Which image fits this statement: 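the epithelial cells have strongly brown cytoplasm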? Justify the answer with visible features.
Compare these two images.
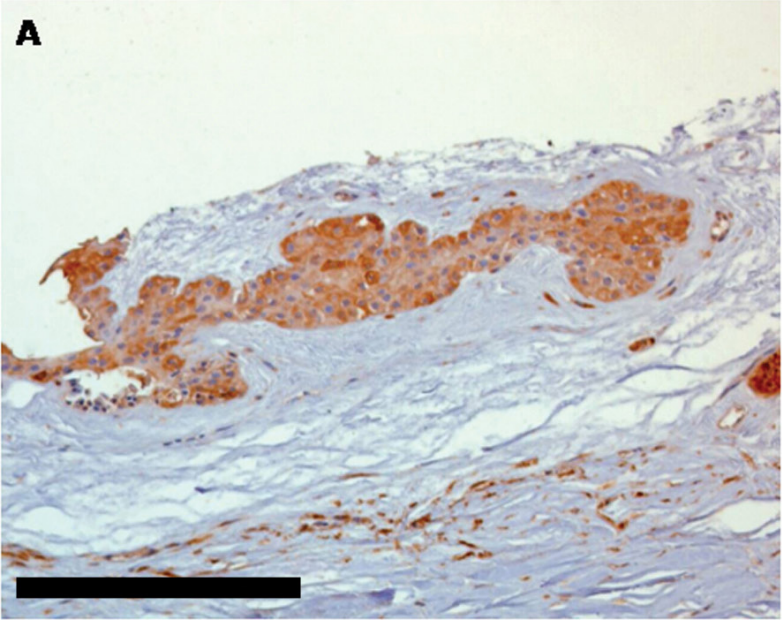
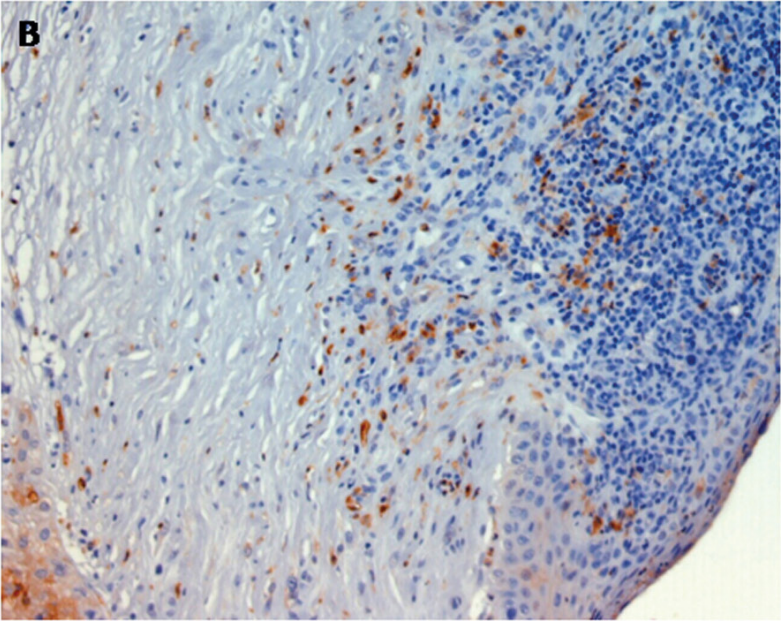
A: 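The first image. First image: the epithelial nests are stained a strong brown throughout their cytoplasm.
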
